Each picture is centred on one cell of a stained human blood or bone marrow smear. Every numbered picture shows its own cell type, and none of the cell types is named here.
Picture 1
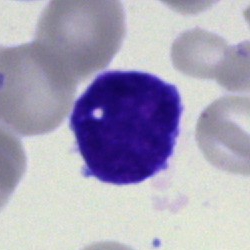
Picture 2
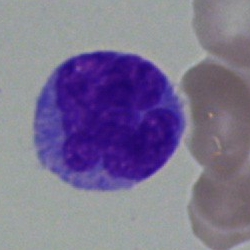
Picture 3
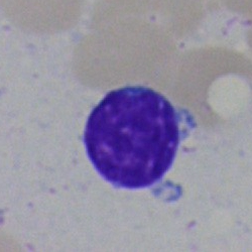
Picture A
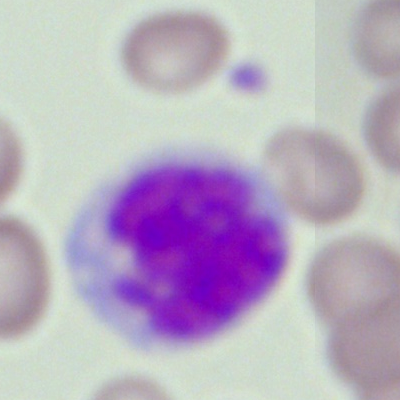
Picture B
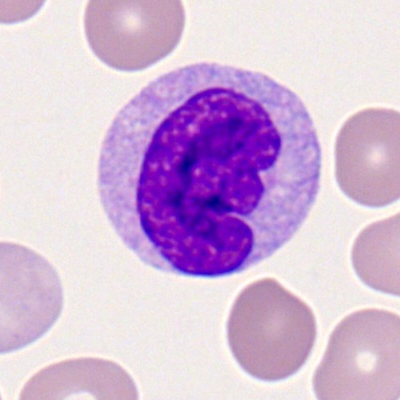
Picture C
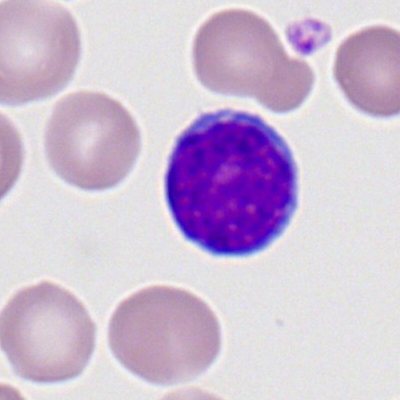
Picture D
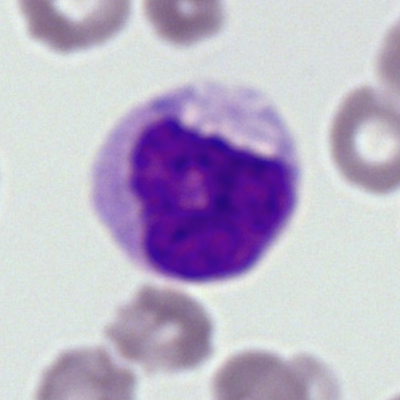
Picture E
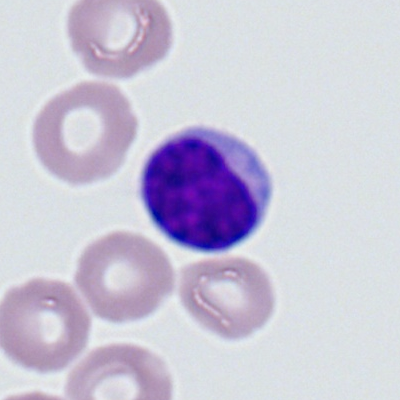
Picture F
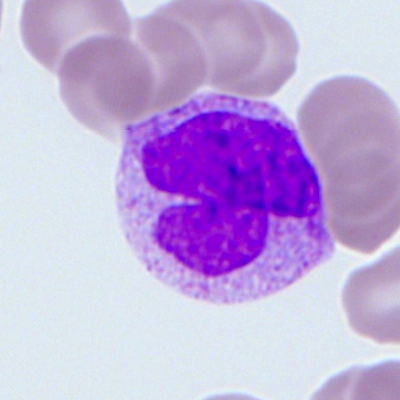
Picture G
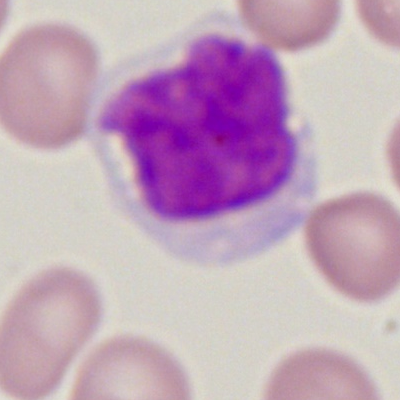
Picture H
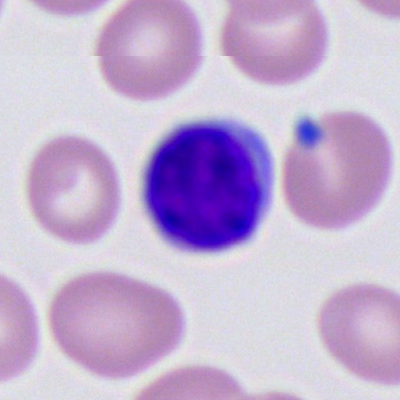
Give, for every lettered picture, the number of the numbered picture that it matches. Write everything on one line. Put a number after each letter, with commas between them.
A 2, B 2, C 3, D 2, E 3, F 2, G 2, H 3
